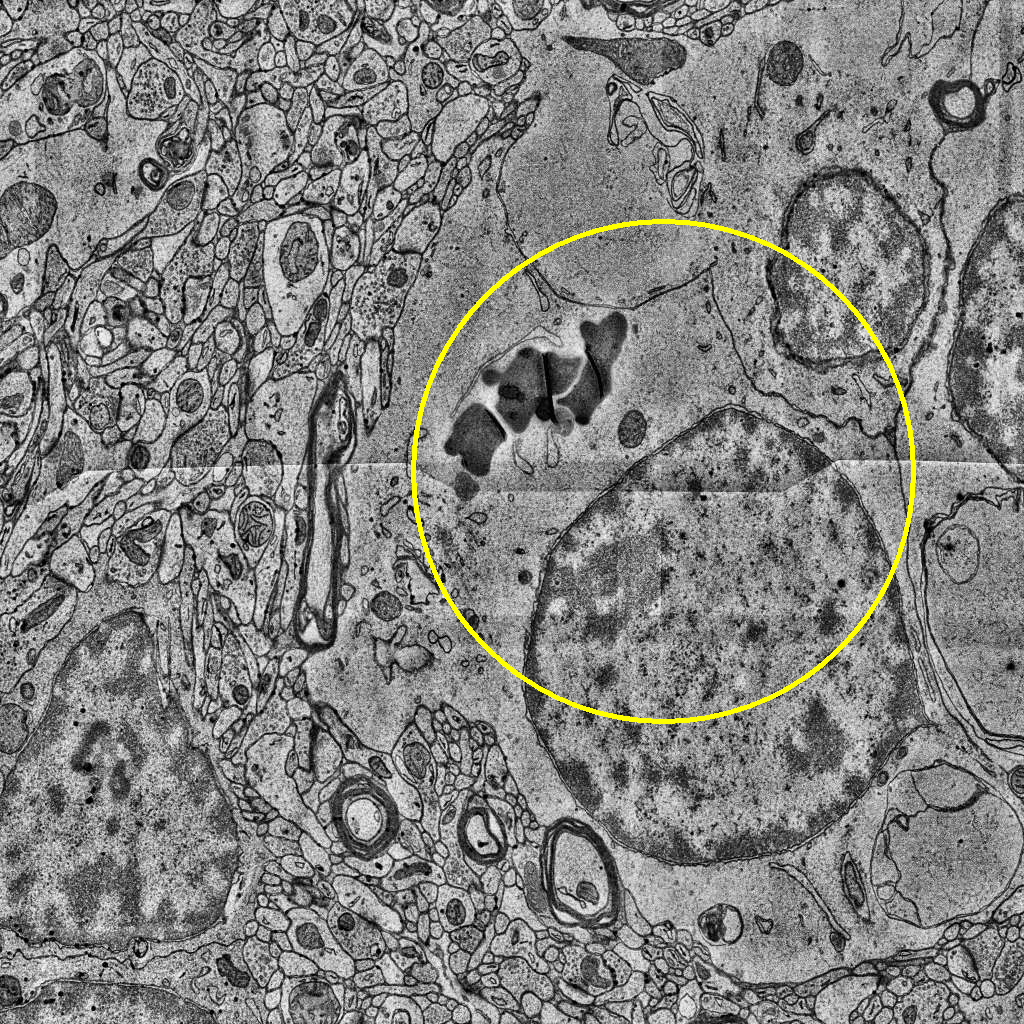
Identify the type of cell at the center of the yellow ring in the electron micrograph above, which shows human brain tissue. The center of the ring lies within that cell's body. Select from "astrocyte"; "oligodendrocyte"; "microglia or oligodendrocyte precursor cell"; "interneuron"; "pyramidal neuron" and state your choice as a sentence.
The center of the yellow ring lies in the body of an astrocyte.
